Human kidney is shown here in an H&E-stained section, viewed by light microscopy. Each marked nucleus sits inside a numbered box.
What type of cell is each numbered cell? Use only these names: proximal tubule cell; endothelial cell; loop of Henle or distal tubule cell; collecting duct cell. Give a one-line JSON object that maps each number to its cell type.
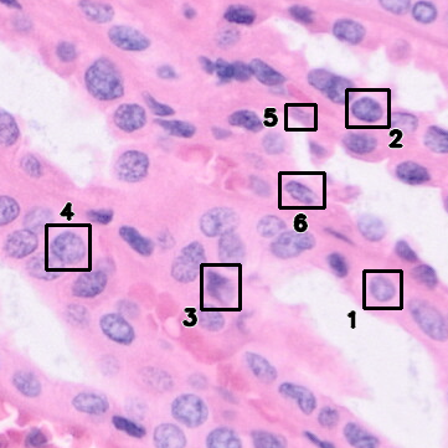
{"1": "collecting duct cell", "2": "loop of Henle or distal tubule cell", "3": "collecting duct cell", "4": "collecting duct cell", "5": "loop of Henle or distal tubule cell", "6": "loop of Henle or distal tubule cell"}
